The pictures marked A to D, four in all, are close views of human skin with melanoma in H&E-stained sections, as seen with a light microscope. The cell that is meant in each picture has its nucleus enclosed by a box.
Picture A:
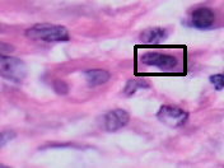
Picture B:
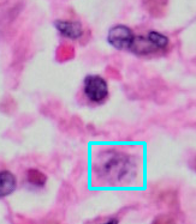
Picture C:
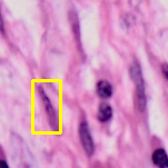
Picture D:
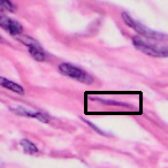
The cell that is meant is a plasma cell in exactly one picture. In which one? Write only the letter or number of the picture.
A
